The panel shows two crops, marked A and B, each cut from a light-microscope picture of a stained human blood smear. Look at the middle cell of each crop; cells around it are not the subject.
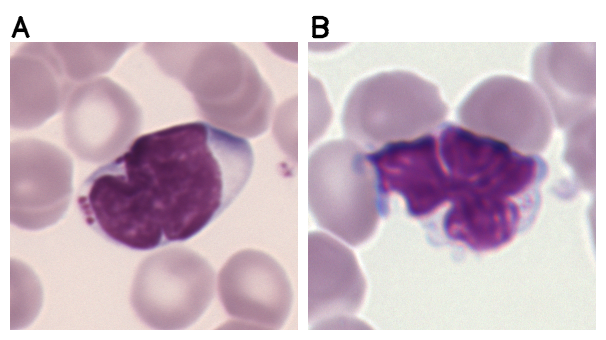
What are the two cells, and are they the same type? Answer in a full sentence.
Yes, as for both crops, the cells shown are large granular lymphocytes.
